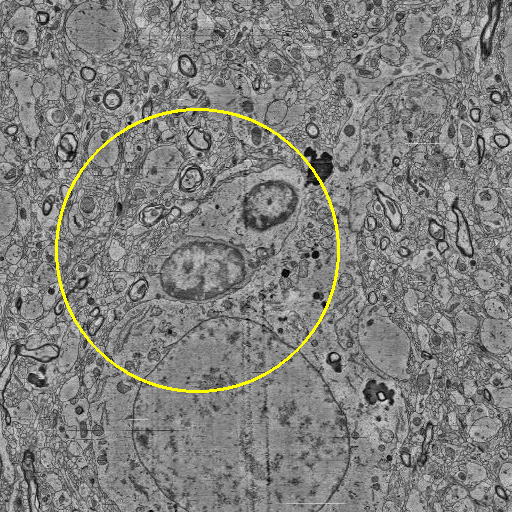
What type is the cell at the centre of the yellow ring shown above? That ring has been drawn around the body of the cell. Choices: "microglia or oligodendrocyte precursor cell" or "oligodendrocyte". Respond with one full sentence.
My answer is that an oligodendrocyte lies at the centre of the yellow ring above.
